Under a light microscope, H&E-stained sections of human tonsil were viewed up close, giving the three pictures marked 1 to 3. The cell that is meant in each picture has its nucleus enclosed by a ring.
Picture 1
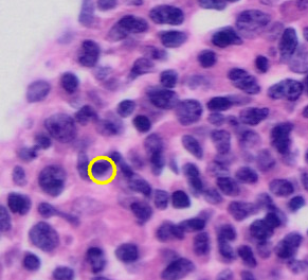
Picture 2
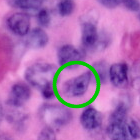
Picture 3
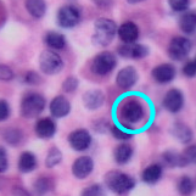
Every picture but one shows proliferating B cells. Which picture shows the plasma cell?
3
